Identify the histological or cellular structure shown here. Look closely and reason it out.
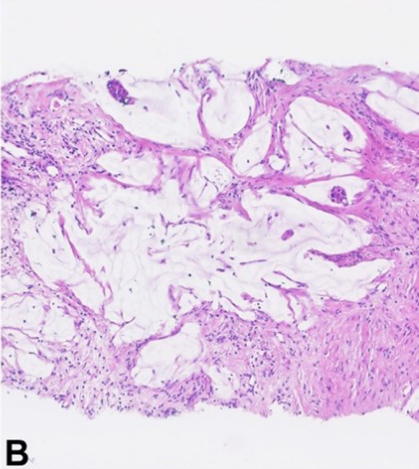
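Large pale, wispy, nearly acellular lakes fill most of the field. Thin pink fibrous septa divide the pale lakes. A few small clusters of epithelial cells float within the pale material. On this evidence: pool of extracellular mucus.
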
